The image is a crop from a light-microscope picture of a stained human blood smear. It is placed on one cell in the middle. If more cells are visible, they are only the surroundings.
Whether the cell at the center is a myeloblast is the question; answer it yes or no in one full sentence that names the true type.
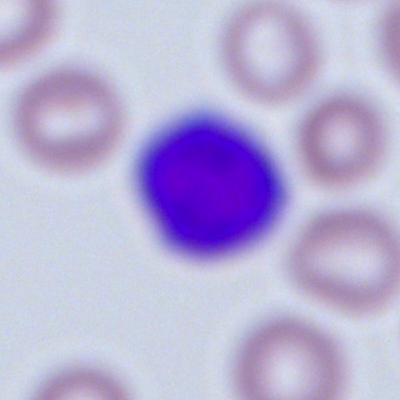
No, the centred cell is a lymphocyte instead of a myeloblast.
